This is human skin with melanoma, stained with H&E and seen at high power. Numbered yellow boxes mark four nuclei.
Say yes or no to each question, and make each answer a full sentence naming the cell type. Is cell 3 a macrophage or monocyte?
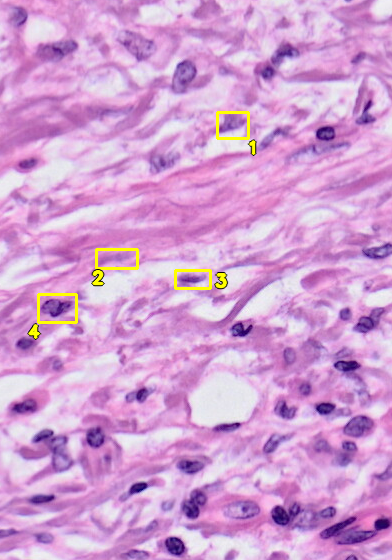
No, the marked cell 3 is not a macrophage or monocyte, being instead a fibroblast or myofibroblast.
